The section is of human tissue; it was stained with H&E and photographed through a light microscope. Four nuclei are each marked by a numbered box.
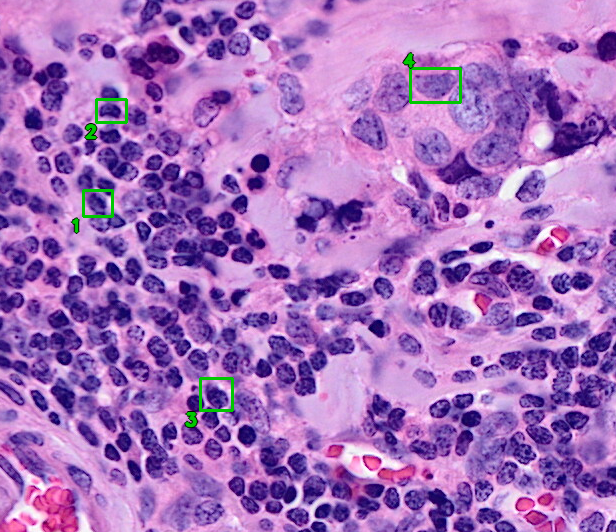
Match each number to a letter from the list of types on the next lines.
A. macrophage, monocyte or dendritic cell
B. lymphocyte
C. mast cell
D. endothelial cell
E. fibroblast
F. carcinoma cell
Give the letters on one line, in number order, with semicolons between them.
B; B; B; F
